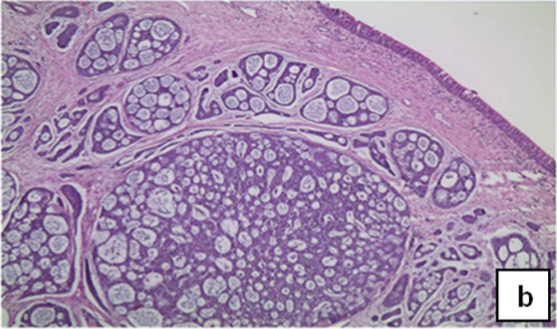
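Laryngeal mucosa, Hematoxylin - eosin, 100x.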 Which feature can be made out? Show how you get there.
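Large nests of dark purple cells are punched through by many round spaces. The round spaces give the nests a sieve-like look. That points to this answer: cribiform pattern.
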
